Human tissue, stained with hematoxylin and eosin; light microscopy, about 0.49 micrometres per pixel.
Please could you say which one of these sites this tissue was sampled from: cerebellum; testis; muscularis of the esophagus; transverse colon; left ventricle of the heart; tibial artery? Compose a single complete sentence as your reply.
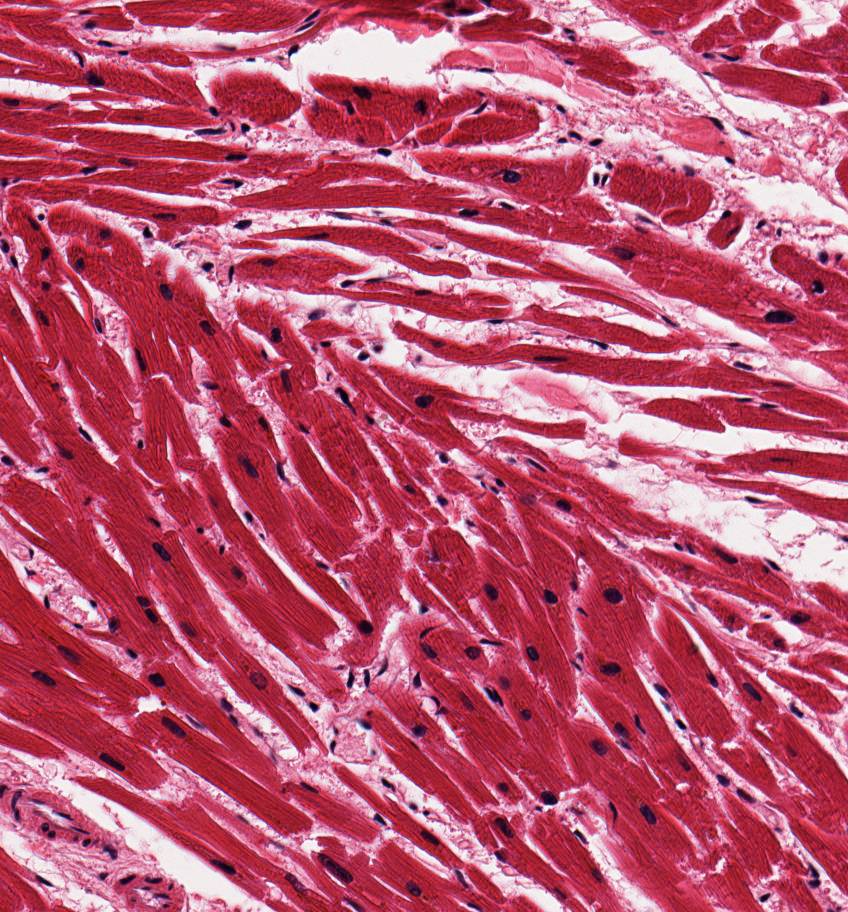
The tissue shown was sampled from the left ventricle of the heart.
